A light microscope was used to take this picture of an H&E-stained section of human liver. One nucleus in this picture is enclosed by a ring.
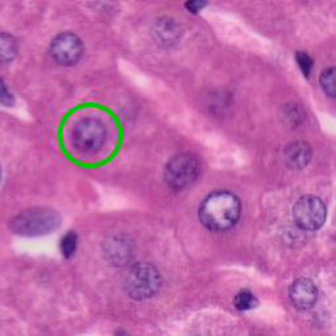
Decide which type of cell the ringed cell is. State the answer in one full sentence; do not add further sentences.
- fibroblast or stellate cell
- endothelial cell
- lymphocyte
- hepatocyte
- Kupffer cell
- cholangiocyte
In this preparation, the ringed cell is a hepatocyte.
